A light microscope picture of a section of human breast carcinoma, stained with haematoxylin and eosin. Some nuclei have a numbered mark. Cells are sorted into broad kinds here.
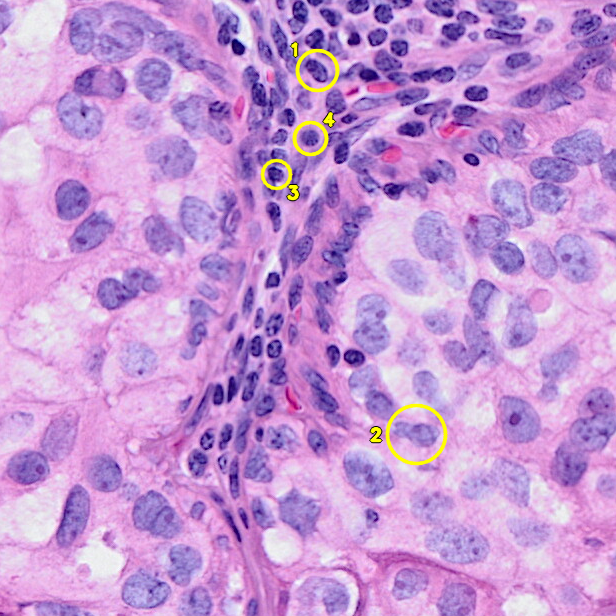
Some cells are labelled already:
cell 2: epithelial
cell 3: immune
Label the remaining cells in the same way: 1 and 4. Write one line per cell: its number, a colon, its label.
1: immune
4: immune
